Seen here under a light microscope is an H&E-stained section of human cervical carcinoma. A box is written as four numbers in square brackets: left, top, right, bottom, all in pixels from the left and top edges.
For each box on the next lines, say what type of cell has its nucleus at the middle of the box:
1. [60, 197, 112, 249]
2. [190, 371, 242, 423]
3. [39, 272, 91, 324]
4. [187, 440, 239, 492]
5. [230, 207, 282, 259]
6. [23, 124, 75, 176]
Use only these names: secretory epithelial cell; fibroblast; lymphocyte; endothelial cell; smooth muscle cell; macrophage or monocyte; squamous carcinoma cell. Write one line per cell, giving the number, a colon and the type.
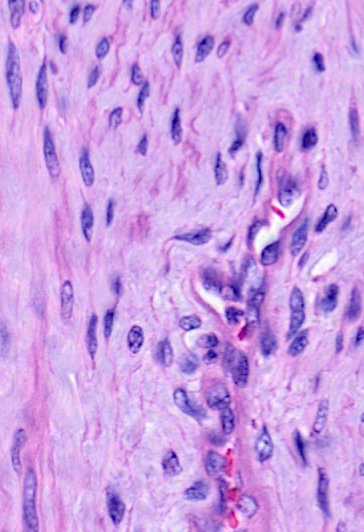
1: fibroblast
2: endothelial cell
3: smooth muscle cell
4: endothelial cell
5: endothelial cell
6: smooth muscle cell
